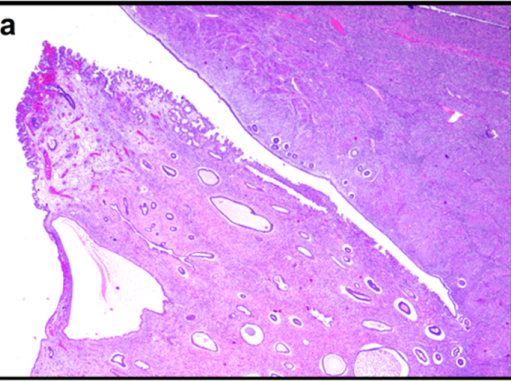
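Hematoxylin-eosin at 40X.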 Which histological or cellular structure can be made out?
Endometrial polyp.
